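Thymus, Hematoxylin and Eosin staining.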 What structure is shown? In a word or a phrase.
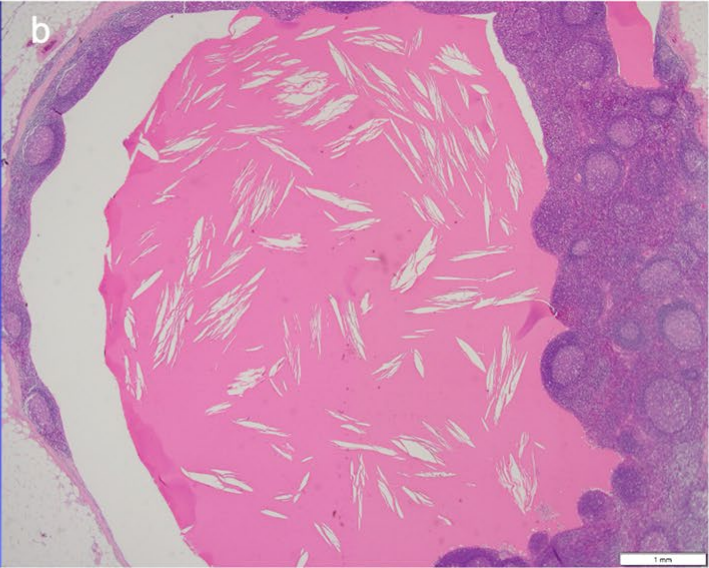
Cholesterol crystals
